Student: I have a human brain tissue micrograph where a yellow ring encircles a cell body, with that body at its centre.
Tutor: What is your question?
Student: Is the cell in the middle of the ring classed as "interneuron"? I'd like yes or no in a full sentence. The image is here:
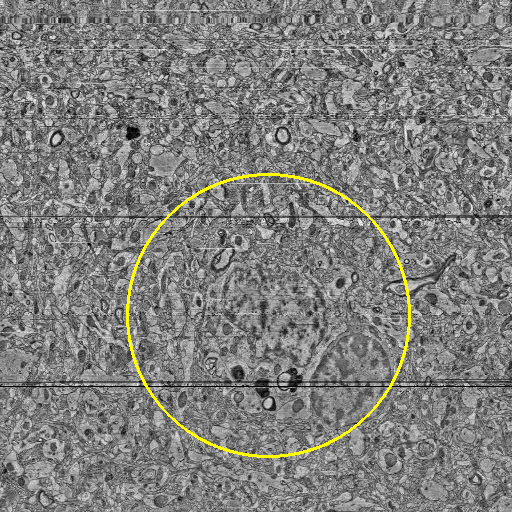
Yes, the cell in the middle of the ring is classed as that kind.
